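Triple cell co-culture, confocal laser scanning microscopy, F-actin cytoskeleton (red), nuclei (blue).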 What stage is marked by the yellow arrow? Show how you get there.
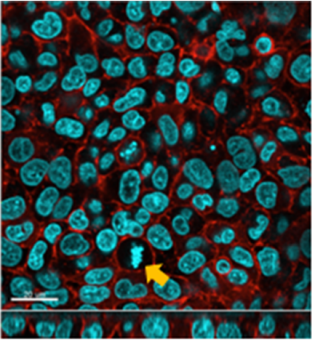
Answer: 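The marked cell holds a compact bar-like cluster of condensed chromatin. It lies in a rounded cell with a dark clear cytoplasm.
Hence: cells undergoing cell division.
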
